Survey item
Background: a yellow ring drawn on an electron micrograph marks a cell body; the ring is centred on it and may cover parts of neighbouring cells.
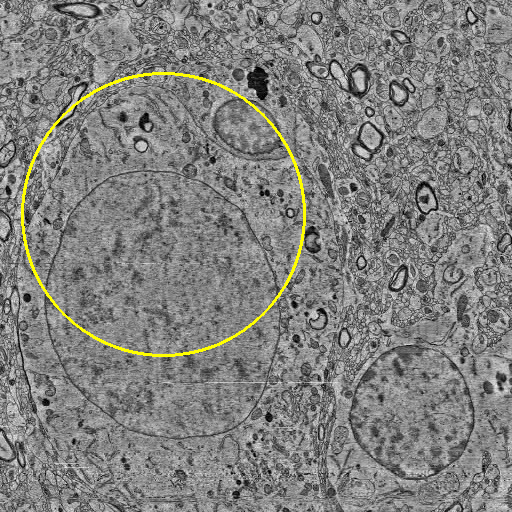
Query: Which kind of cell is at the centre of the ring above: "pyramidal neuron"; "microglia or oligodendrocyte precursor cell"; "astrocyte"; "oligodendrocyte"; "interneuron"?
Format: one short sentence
The cell in the middle of the ring is a pyramidal neuron.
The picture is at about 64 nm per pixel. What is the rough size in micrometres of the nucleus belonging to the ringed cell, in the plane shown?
Roughly 18 micrometres by 15 micrometres, in this plane.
